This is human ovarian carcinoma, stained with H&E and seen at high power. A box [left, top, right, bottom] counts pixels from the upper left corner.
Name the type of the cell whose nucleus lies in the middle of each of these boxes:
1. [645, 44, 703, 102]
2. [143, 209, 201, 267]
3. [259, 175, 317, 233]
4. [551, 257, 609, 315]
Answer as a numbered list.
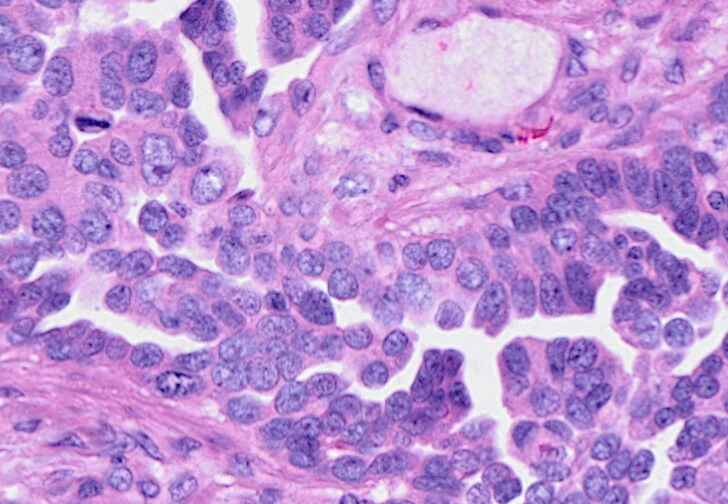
1. fibroblast
2. carcinoma cell
3. fibroblast
4. carcinoma cell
